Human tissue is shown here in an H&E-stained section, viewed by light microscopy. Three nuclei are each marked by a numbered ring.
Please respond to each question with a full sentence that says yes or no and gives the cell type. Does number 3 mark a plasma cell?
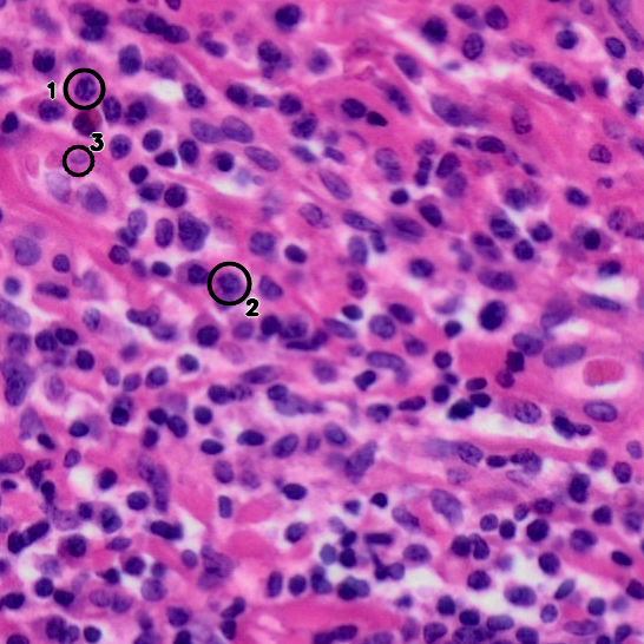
No, an endothelial cell is what cell 3 is, not a plasma cell.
